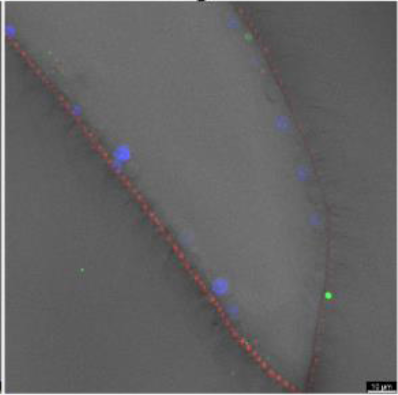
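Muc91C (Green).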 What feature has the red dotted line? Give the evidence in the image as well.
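A beaded red line runs along the tube wall. It coincides with the regularly spaced ridges visible in the grey bright-field background. The answer: taenidial folds.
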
